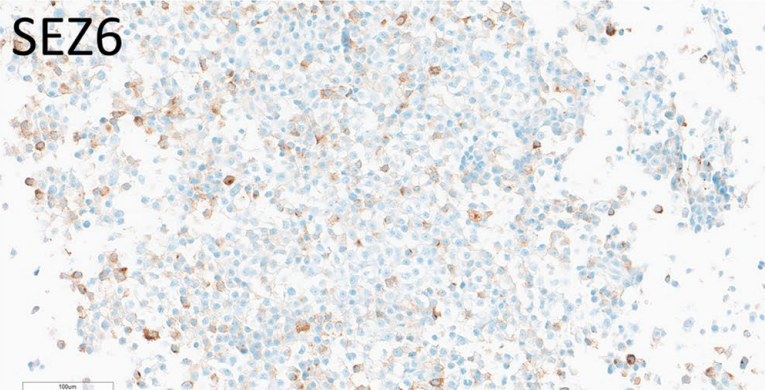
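Loosely arranged, partly discohesive round tumor cells with uniform round blue nuclei and pale cytoplasm, with open spaces between groups. Brown stain is uneven: scattered single cells are darkly brown, some show faint brown along their borders, and many are unstained.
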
